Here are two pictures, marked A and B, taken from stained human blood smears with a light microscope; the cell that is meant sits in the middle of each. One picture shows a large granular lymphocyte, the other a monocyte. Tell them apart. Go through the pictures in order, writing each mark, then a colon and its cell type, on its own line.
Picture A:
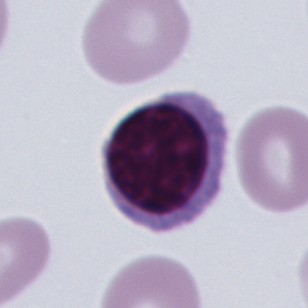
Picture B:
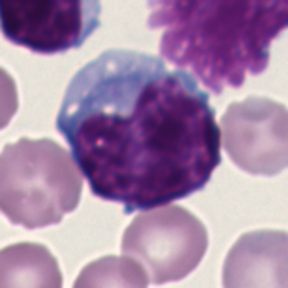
A: large granular lymphocyte
B: monocyte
